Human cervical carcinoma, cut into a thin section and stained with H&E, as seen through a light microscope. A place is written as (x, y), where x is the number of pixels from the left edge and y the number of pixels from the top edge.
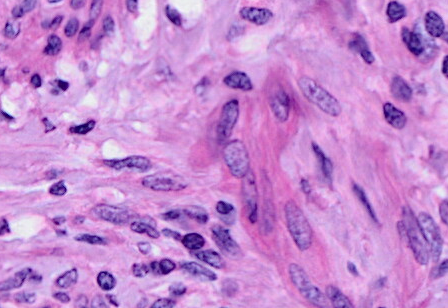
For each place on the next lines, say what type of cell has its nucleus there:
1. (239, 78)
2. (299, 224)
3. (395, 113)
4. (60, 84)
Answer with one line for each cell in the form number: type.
1: lymphocyte
2: smooth muscle cell
3: lymphocyte
4: lymphocyte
